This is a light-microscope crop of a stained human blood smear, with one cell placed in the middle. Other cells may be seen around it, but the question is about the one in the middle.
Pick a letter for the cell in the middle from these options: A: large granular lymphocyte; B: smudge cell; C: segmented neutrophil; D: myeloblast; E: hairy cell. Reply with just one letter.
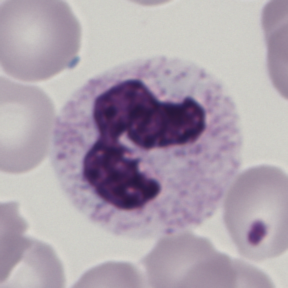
C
